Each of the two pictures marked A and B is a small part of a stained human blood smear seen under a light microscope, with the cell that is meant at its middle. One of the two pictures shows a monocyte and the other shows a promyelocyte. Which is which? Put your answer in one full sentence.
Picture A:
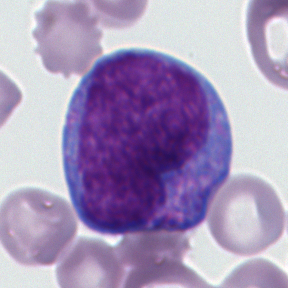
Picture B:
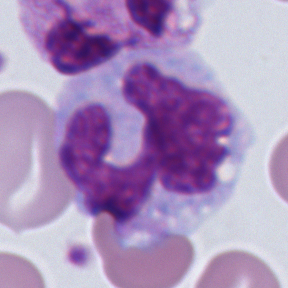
It is picture A that shows a promyelocyte, and picture B that shows a monocyte.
